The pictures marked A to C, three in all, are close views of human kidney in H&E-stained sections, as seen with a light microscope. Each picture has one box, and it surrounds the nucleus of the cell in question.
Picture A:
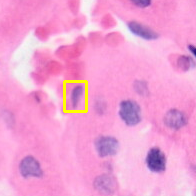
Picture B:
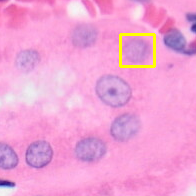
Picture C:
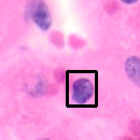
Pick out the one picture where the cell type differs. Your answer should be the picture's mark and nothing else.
A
